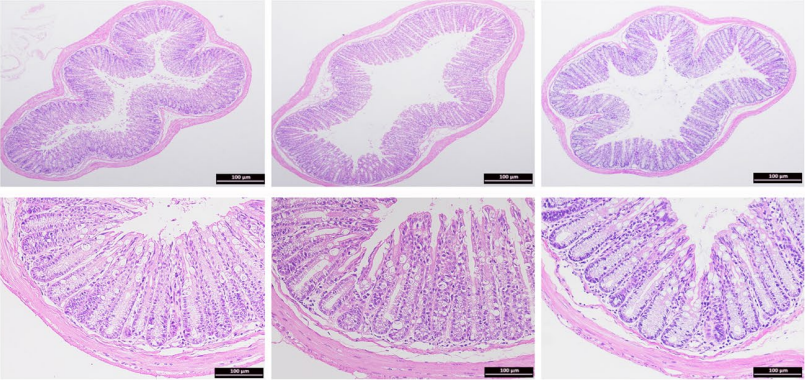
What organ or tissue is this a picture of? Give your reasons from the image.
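Cross-sections of a tube whose mucosa is folded and lined by straight tubular glands. No finger-like villi project into the lumen. The glands contain many pale, clear vacuolated cells. A thin pink muscle coat surrounds the mucosa. The answer: colon.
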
